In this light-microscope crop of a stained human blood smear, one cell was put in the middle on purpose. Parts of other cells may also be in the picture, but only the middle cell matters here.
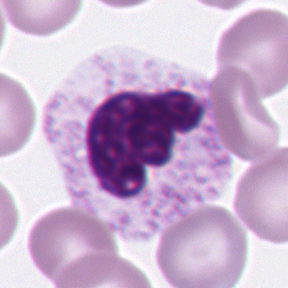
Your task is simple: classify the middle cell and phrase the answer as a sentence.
The cell at the middle of the frame should be recorded as a neutrophil.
